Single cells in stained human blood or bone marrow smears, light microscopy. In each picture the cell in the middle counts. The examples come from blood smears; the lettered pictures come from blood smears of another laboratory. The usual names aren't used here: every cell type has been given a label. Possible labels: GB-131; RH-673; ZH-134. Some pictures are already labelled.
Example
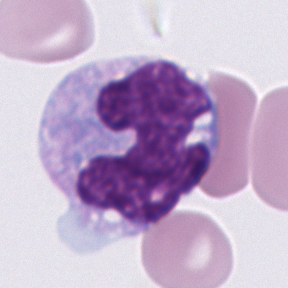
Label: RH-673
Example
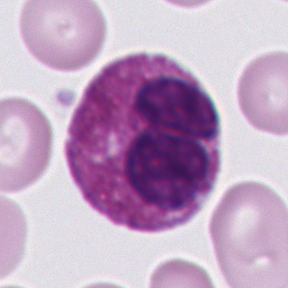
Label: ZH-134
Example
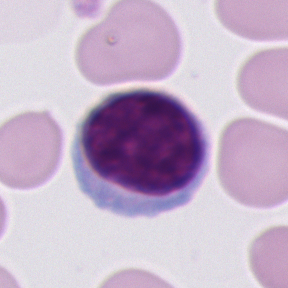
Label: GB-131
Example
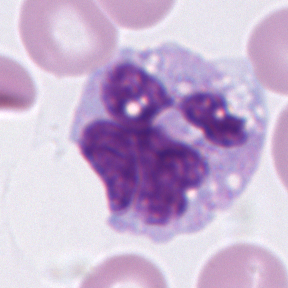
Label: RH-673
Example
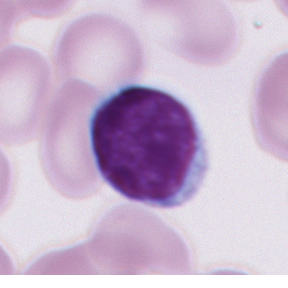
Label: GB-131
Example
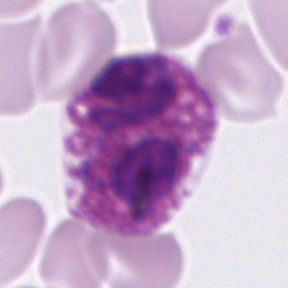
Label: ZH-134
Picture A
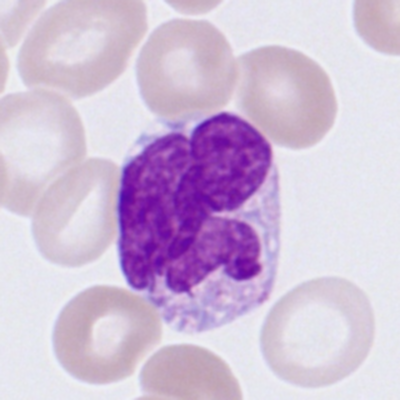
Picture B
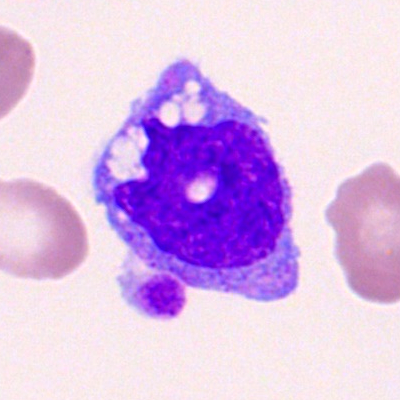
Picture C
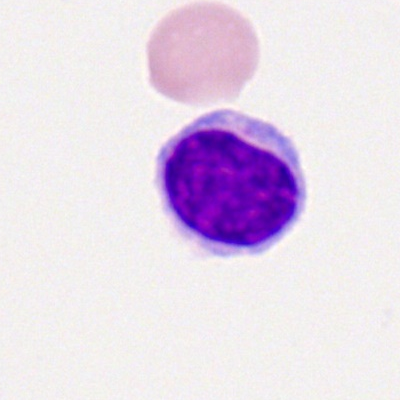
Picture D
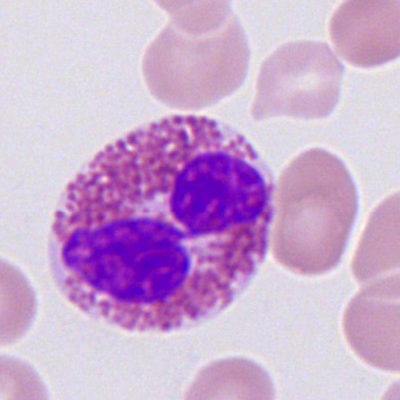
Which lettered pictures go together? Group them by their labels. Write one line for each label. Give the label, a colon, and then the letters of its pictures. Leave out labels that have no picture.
GB-131: C
RH-673: A, B
ZH-134: D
